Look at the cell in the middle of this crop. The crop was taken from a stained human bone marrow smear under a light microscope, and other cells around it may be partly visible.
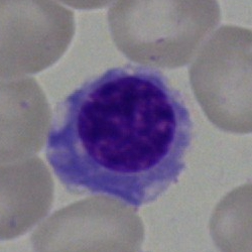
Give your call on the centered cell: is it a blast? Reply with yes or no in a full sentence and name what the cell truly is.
No, the middle cell is classified as an erythroblast and not as a blast.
